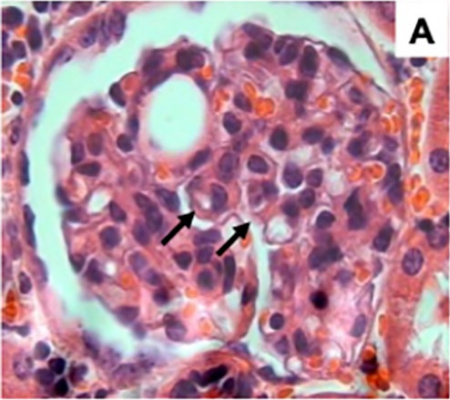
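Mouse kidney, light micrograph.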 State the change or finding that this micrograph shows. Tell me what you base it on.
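Hypercellular glomerulus. The glomerular tuft is crowded with many dark nuclei. Few open capillary lumens are seen among the packed cells.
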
